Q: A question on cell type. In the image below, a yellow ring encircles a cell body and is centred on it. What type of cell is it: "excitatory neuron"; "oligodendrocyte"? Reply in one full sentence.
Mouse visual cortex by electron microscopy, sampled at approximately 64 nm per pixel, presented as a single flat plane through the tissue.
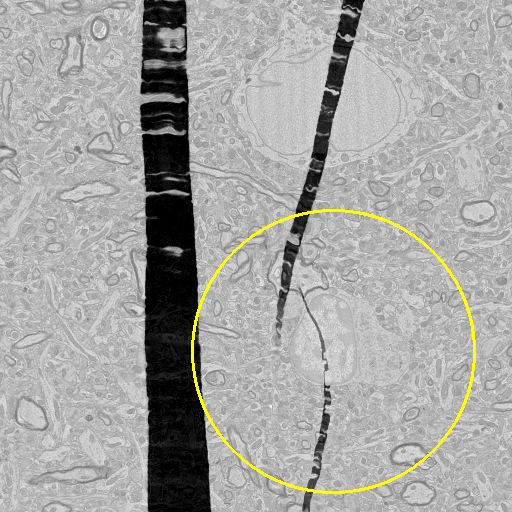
It is an oligodendrocyte whose cell body sits at the centre of the yellow ring in the image.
